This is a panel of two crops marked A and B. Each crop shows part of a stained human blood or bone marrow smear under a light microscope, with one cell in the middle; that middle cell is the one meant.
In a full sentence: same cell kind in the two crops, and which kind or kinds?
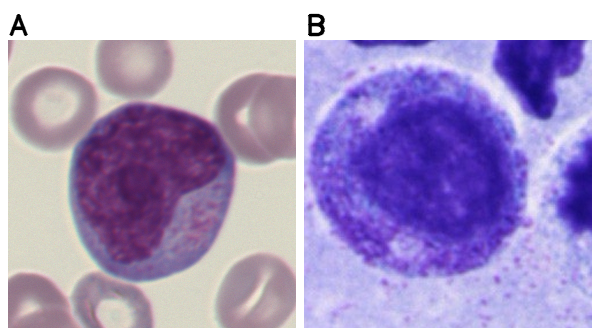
Yes, promyelocytes are the cells shown in both crops.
